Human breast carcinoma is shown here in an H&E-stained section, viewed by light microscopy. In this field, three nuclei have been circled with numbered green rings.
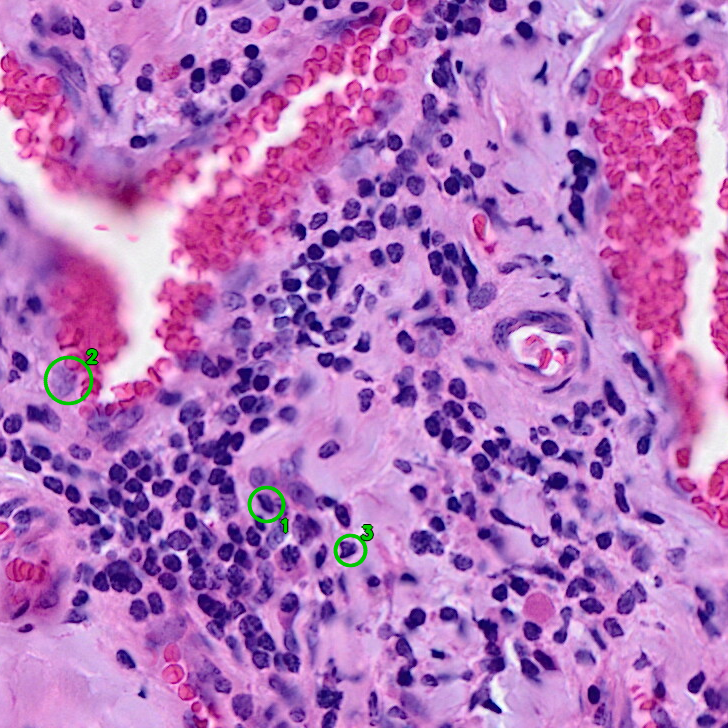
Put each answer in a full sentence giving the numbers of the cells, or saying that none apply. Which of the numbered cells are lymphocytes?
The cells that have been numbered 1 and 3 are lymphocytes.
